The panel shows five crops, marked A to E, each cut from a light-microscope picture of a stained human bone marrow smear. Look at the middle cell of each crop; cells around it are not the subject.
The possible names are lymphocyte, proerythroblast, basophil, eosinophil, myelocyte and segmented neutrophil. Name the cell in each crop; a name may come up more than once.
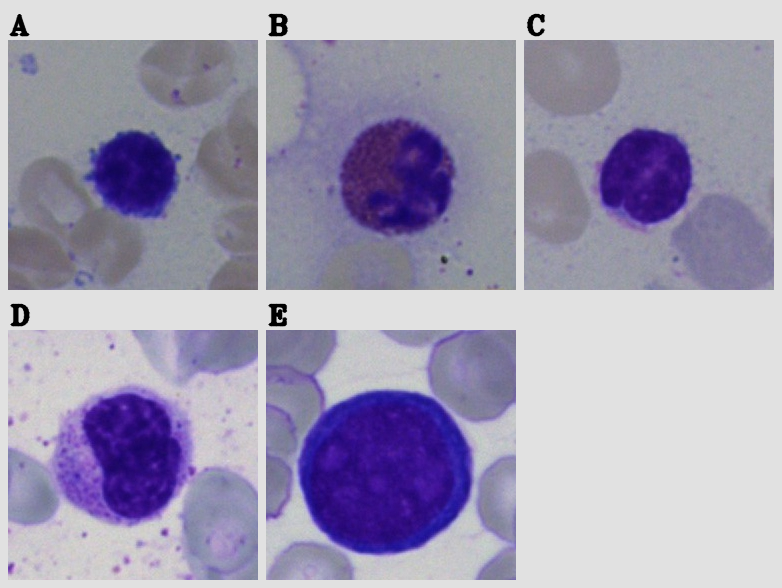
A: lymphocyte
B: eosinophil
C: lymphocyte
D: myelocyte
E: proerythroblast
